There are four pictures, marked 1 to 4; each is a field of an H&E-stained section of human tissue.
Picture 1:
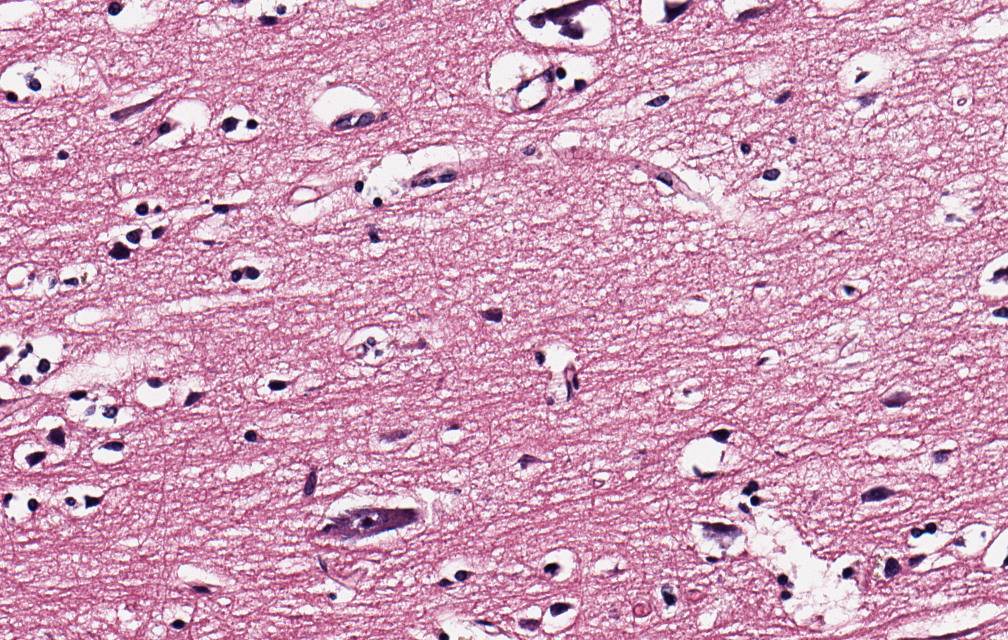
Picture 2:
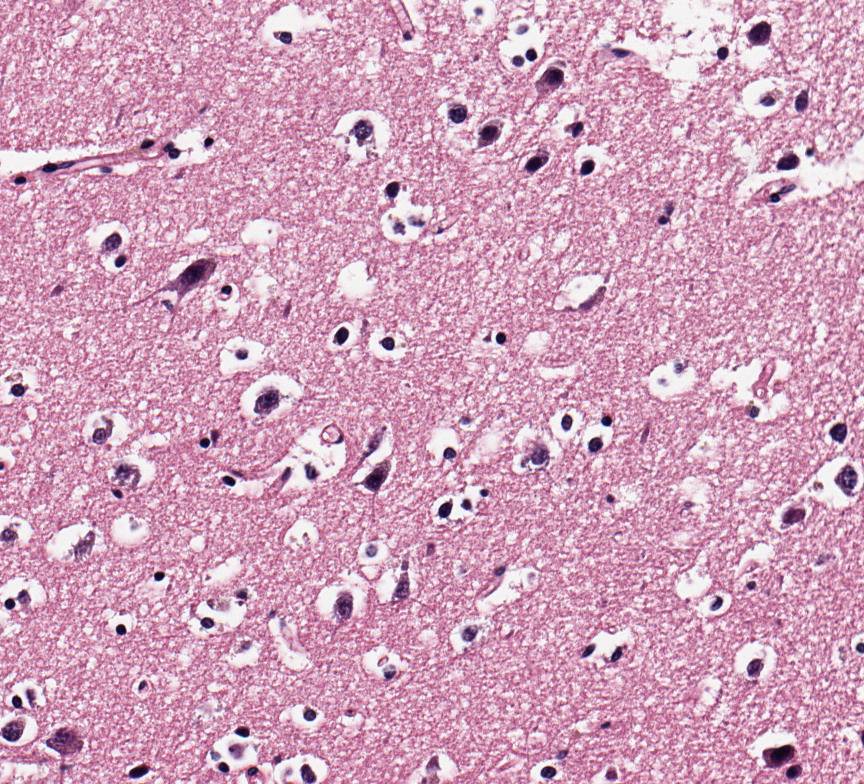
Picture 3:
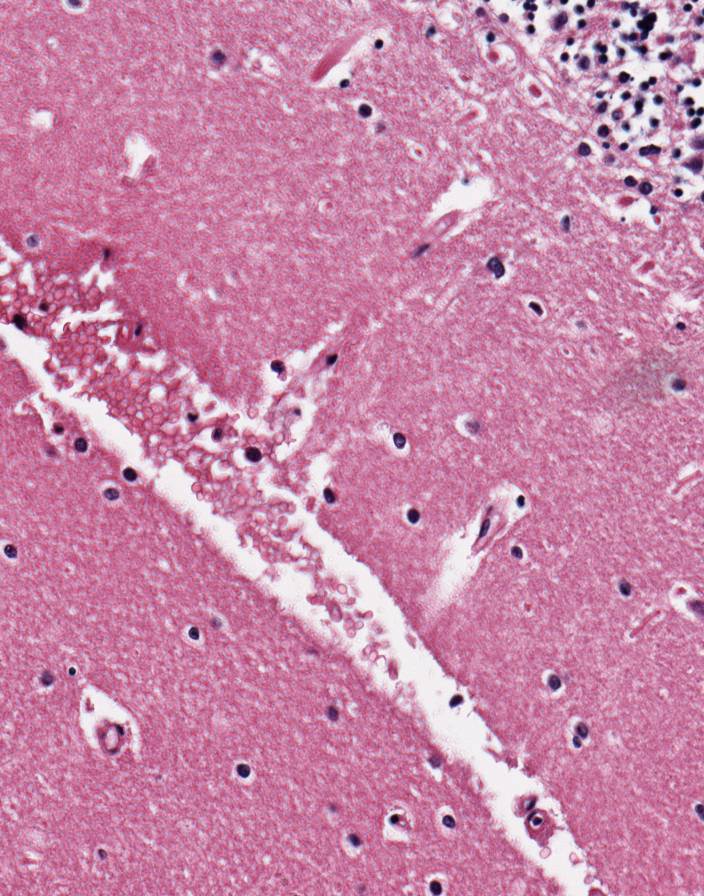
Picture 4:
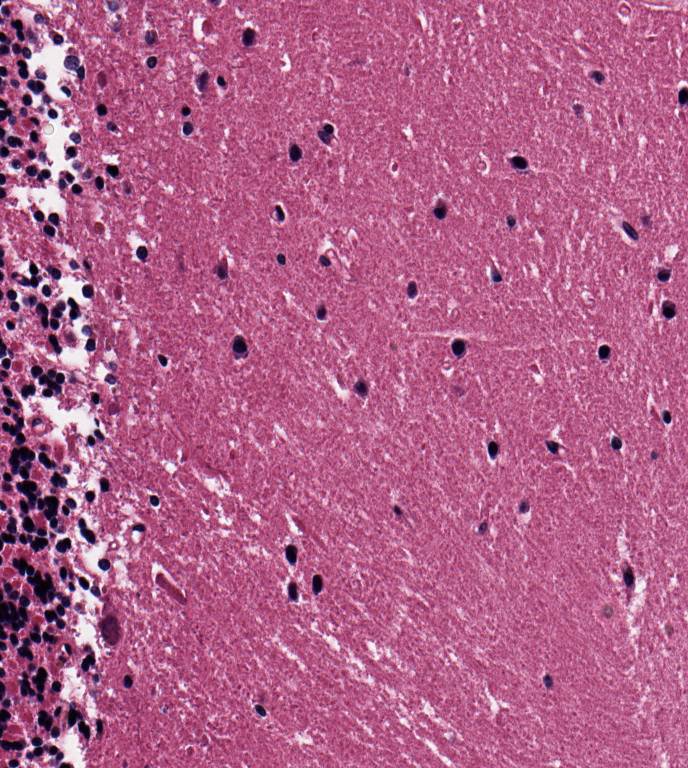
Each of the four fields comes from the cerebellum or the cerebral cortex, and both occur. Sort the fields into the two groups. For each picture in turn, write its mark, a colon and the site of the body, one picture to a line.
1: cerebral cortex
2: cerebral cortex
3: cerebellum
4: cerebellum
